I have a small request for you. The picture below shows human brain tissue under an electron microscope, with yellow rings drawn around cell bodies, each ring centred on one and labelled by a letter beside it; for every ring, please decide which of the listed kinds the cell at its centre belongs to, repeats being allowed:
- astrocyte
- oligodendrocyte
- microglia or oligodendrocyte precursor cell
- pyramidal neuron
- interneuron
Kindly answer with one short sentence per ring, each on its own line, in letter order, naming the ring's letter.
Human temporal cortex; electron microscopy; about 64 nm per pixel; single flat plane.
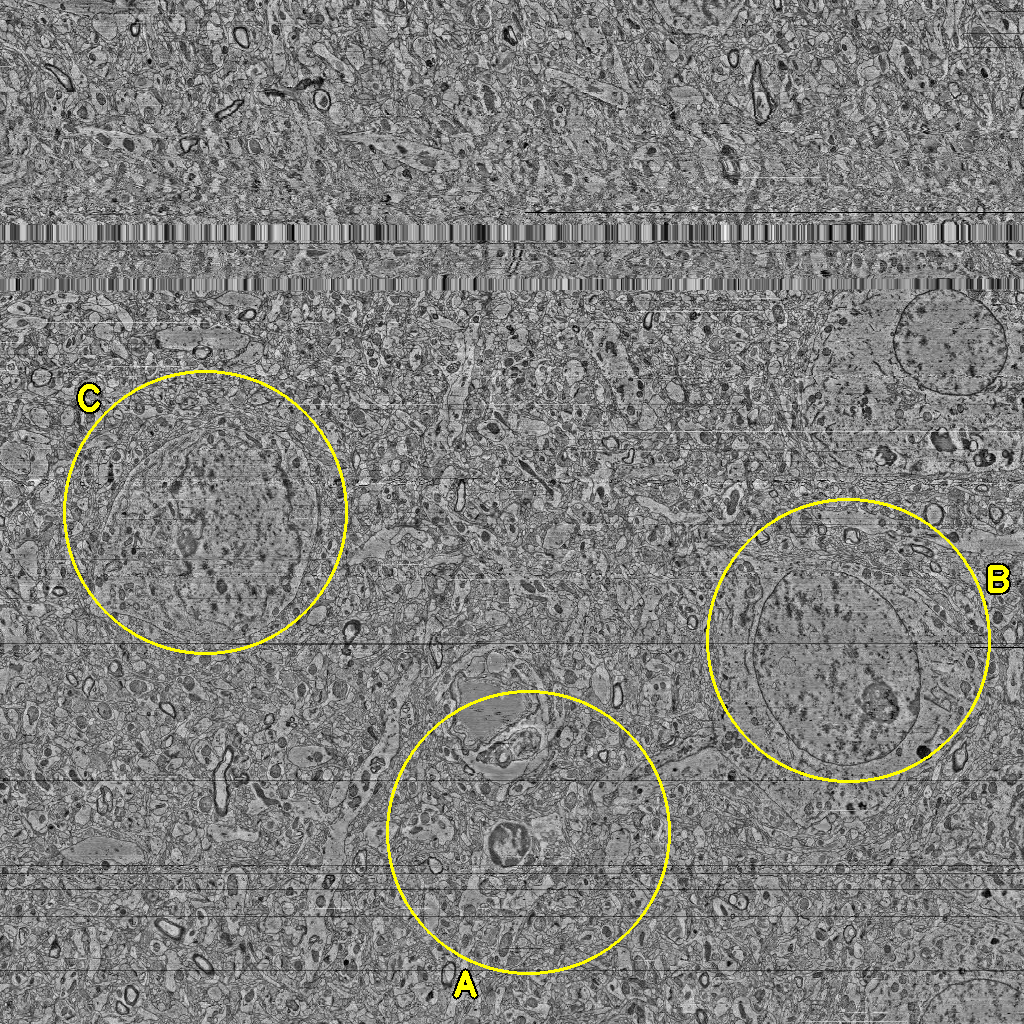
Ring A shows a microglial cell or oligodendrocyte precursor cell at its centre.
Ring B shows a pyramidal neuron at its centre.
Ring C shows an interneuron at its centre.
